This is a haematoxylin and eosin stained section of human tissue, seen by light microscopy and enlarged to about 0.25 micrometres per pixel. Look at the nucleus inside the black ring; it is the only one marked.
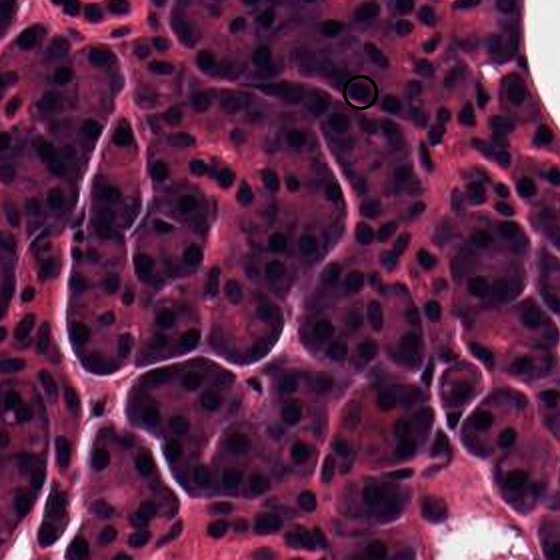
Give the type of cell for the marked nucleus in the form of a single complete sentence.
The nucleus that has been marked belongs to a pancreatic acinar cell.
